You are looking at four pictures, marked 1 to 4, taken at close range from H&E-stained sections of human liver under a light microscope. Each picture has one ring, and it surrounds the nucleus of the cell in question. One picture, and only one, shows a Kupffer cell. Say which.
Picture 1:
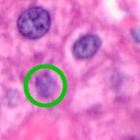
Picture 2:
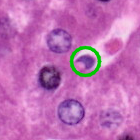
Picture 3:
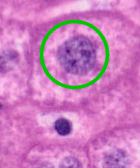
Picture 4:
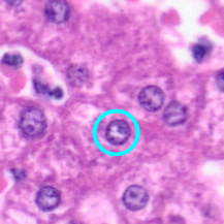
2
